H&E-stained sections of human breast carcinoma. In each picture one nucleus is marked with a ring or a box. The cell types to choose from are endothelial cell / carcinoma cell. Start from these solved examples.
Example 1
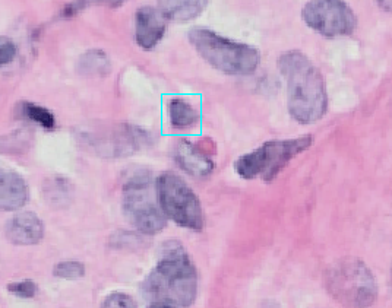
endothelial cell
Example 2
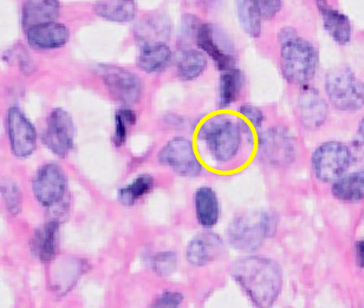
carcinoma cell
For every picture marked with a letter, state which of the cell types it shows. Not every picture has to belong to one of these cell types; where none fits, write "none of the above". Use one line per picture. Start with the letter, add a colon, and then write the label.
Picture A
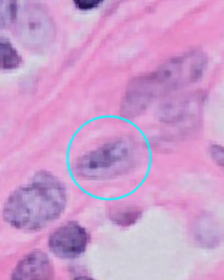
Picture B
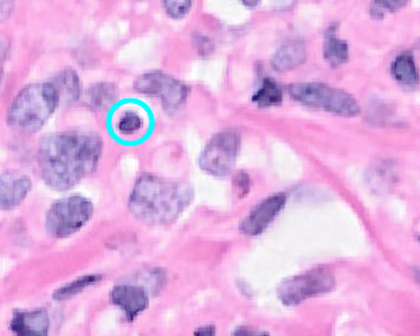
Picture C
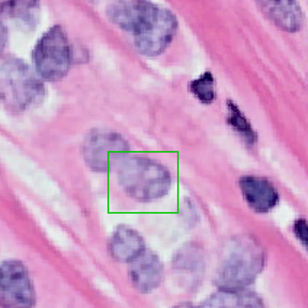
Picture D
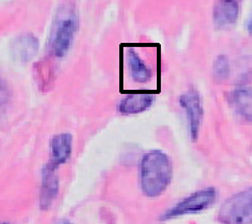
A: endothelial cell
B: none of the above
C: carcinoma cell
D: endothelial cell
